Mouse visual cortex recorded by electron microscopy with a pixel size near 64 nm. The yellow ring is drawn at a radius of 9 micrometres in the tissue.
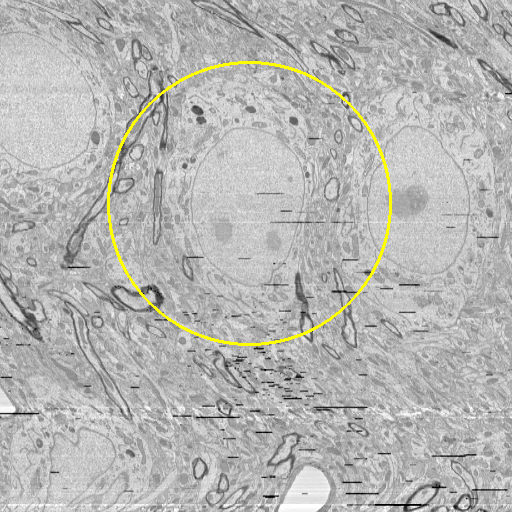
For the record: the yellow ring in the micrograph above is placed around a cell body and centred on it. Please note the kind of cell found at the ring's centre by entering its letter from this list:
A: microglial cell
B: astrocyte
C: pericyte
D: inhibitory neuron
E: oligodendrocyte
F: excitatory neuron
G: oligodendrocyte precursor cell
F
